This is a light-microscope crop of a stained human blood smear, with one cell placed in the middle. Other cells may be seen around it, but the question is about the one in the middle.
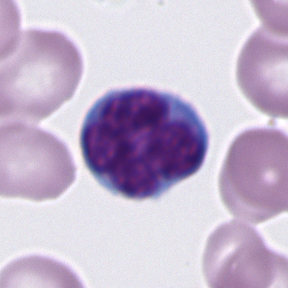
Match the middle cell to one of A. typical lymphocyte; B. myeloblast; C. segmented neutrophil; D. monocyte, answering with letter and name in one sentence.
Of the options given, B is correct, the central cell being a myeloblast.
